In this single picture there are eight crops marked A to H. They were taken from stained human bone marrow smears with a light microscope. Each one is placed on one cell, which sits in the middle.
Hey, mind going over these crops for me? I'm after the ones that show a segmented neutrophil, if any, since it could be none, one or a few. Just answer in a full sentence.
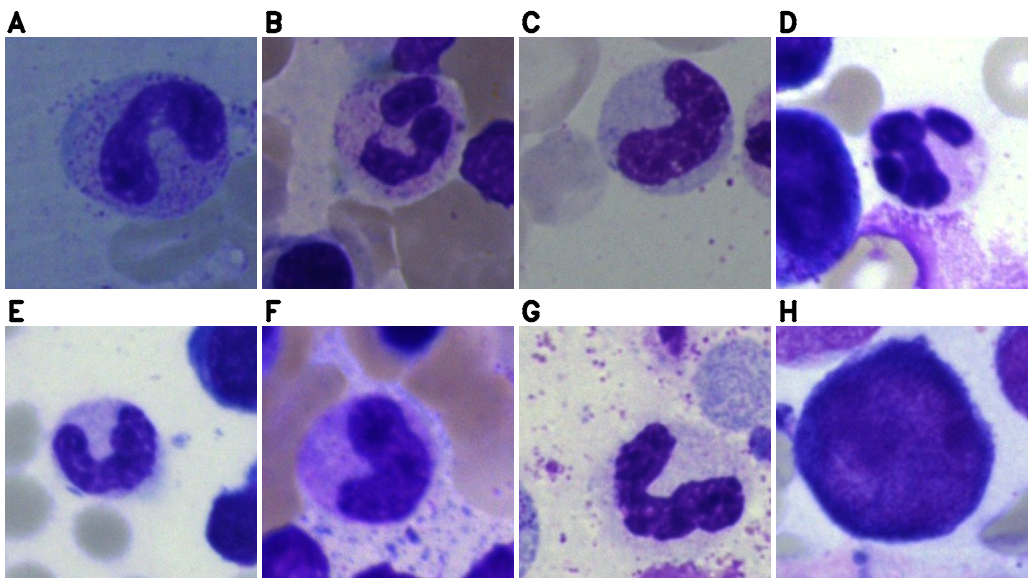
Crops B, D, E and G are the crops in which segmented neutrophils are shown.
